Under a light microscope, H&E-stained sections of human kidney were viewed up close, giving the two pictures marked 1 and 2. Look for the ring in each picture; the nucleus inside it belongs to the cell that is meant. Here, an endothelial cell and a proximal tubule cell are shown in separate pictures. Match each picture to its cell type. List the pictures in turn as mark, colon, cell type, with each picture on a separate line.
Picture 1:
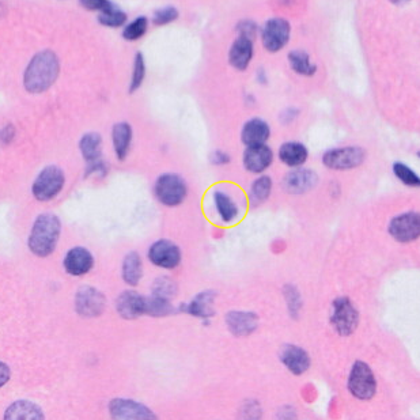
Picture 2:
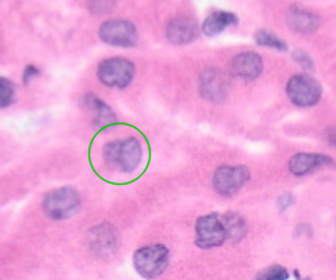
1: endothelial cell
2: proximal tubule cell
